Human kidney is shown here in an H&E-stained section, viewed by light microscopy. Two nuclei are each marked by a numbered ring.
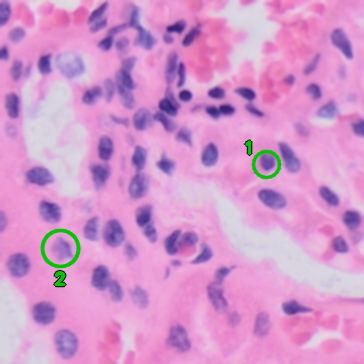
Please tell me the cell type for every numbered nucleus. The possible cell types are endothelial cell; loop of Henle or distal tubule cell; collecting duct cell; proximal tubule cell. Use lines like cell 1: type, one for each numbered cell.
cell 1: endothelial cell
cell 2: loop of Henle or distal tubule cell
